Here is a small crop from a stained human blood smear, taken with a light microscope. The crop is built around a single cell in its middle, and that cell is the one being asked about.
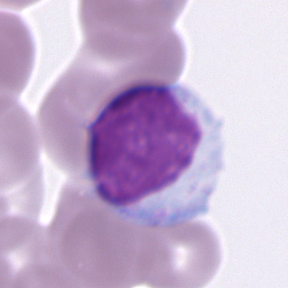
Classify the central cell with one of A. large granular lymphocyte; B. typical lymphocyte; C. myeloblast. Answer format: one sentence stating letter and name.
Option A is correct here, and the cell in the middle is a large granular lymphocyte.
